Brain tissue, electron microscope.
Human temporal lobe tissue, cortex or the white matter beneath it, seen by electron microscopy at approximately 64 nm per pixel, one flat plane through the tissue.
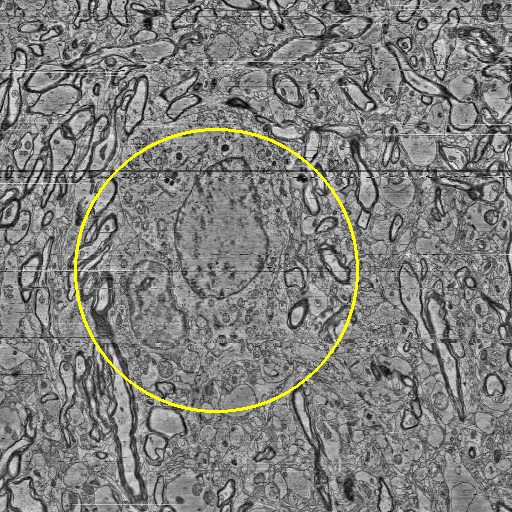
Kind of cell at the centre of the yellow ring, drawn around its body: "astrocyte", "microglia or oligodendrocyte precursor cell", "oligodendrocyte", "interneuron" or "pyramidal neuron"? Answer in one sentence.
The ring's centre falls on an interneuron.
